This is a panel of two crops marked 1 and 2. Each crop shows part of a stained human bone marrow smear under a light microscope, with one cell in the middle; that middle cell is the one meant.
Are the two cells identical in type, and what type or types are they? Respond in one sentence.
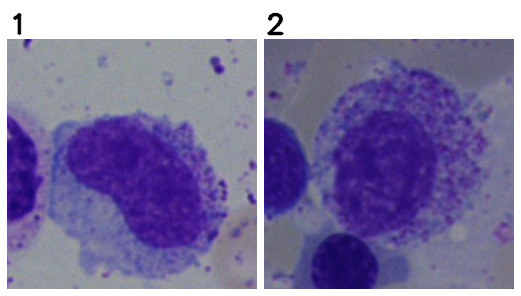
No, in crop 2 the central cell is a myelocyte, and in crop 1 it is a metamyelocyte.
